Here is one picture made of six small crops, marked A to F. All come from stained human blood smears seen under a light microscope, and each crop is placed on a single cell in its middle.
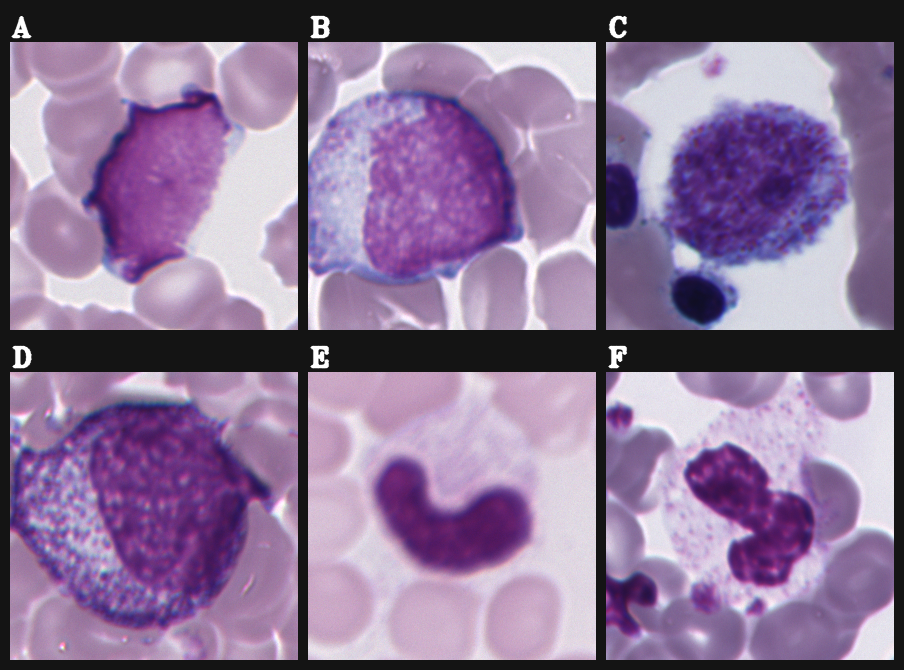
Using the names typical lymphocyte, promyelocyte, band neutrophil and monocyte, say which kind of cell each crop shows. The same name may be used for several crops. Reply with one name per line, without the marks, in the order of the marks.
typical lymphocyte
promyelocyte
promyelocyte
promyelocyte
band neutrophil
band neutrophil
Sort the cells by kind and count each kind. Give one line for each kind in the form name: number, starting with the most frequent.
promyelocyte: 3
band neutrophil: 2
typical lymphocyte: 1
